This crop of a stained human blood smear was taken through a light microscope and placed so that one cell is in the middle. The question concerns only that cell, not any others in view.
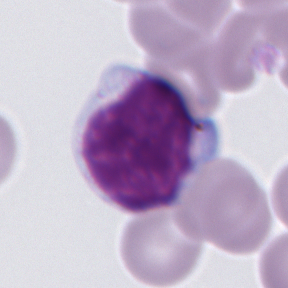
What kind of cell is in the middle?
large granular lymphocyte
